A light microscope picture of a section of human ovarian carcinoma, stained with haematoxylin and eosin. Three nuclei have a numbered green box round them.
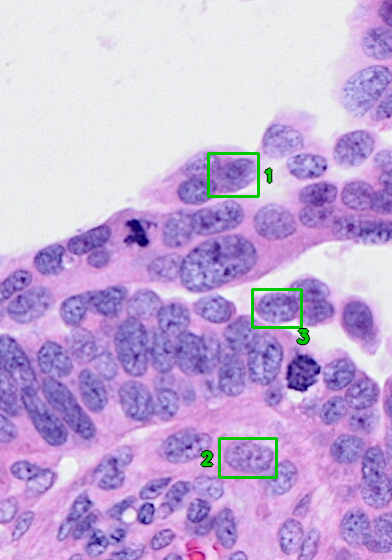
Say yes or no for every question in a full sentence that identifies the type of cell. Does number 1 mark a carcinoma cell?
Yes, the cell whose nucleus carries number 1 is a carcinoma cell.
